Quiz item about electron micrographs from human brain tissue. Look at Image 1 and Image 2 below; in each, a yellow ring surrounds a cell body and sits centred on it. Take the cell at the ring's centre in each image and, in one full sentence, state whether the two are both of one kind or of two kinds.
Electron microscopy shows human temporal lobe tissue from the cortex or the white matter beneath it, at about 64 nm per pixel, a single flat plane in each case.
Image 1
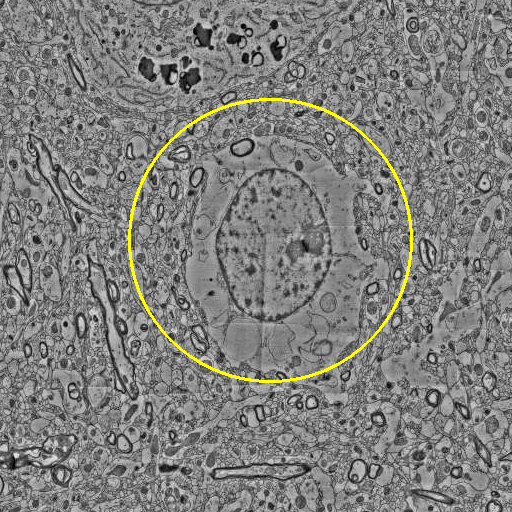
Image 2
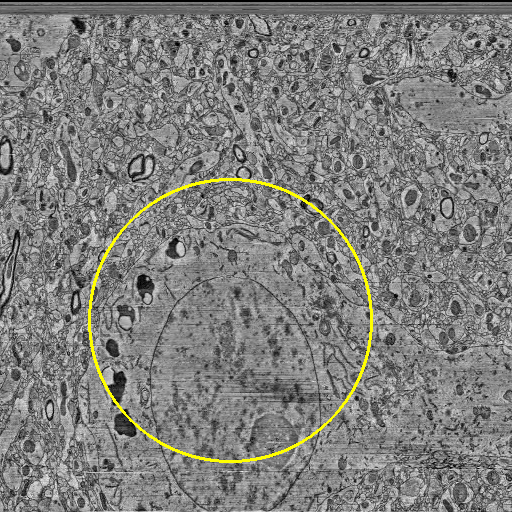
In Image 1 and Image 2, the cells at the ring centres are of two kinds.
